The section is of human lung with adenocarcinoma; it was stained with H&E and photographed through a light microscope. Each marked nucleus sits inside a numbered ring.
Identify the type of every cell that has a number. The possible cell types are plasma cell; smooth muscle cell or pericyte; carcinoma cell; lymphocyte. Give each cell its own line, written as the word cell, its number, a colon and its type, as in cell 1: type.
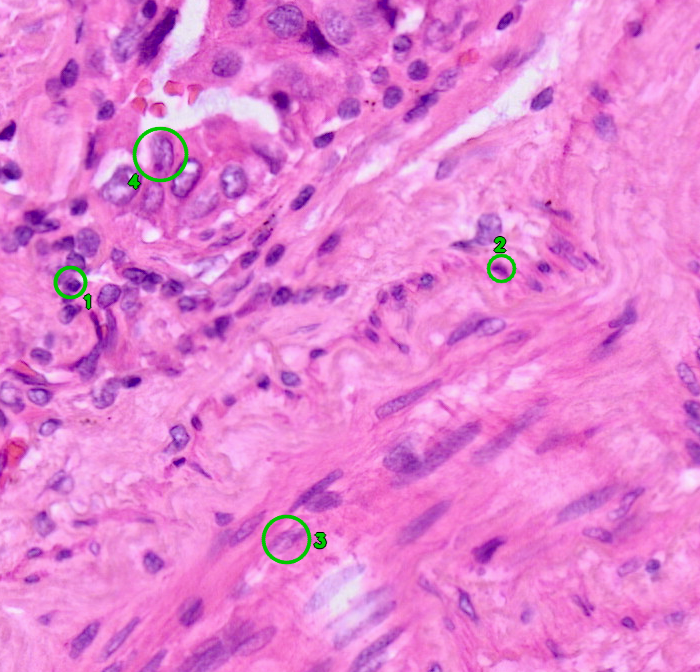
cell 1: lymphocyte
cell 2: smooth muscle cell or pericyte
cell 3: smooth muscle cell or pericyte
cell 4: carcinoma cell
